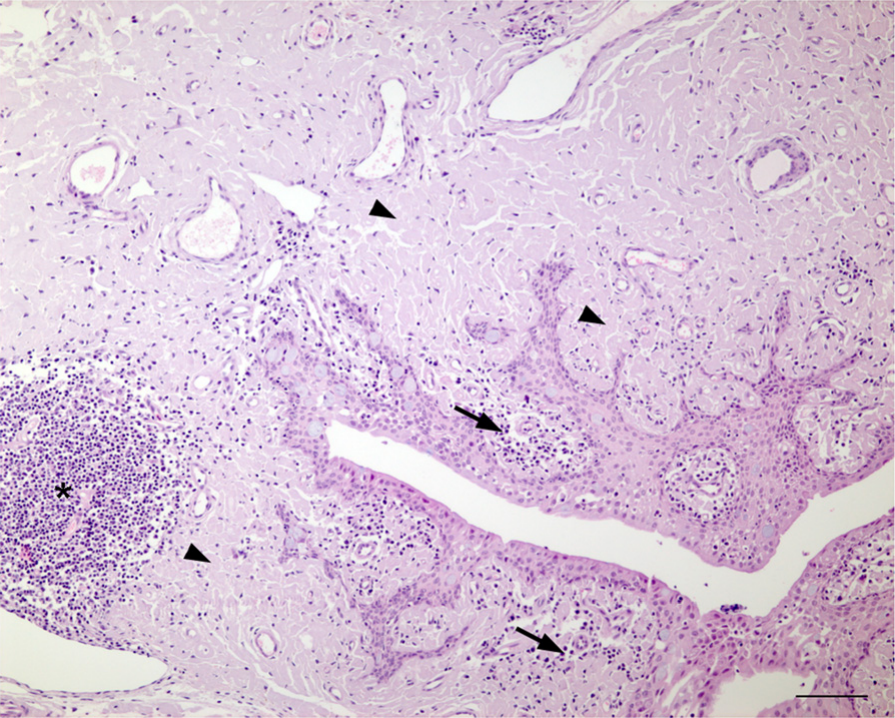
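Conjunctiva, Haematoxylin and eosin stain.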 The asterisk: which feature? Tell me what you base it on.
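A dense, well-delimited mass of packed small round dark-nucleated cells lies at the left edge.
Hence: large nodular aggregates.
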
